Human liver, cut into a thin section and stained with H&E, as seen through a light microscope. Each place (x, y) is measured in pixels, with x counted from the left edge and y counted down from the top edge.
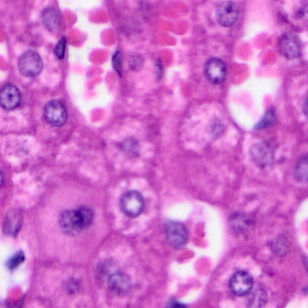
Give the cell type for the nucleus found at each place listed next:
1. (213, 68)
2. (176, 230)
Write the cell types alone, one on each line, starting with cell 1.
hepatocyte
Kupffer cell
